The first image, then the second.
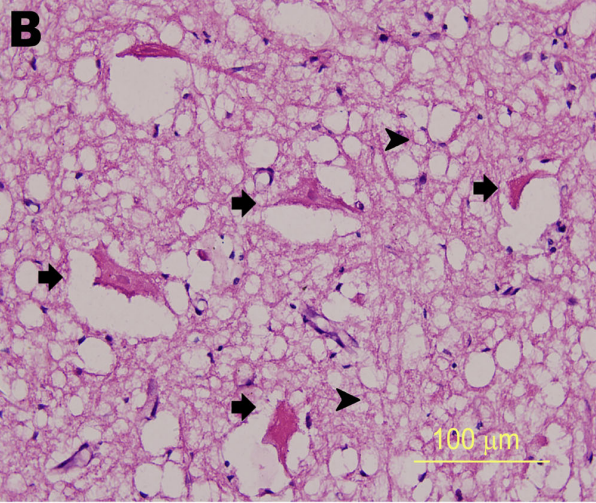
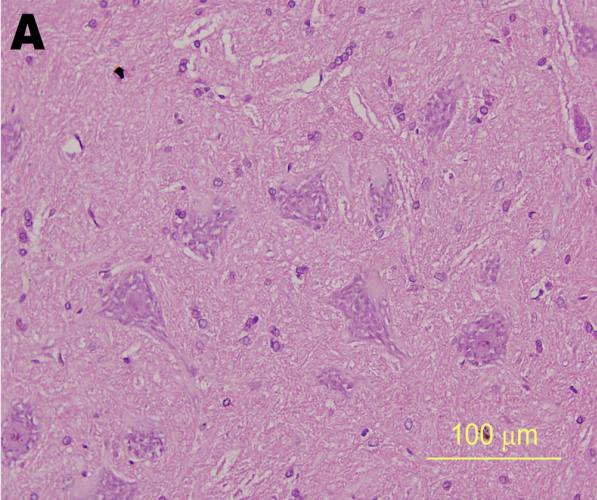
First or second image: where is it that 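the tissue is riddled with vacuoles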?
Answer: the first image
